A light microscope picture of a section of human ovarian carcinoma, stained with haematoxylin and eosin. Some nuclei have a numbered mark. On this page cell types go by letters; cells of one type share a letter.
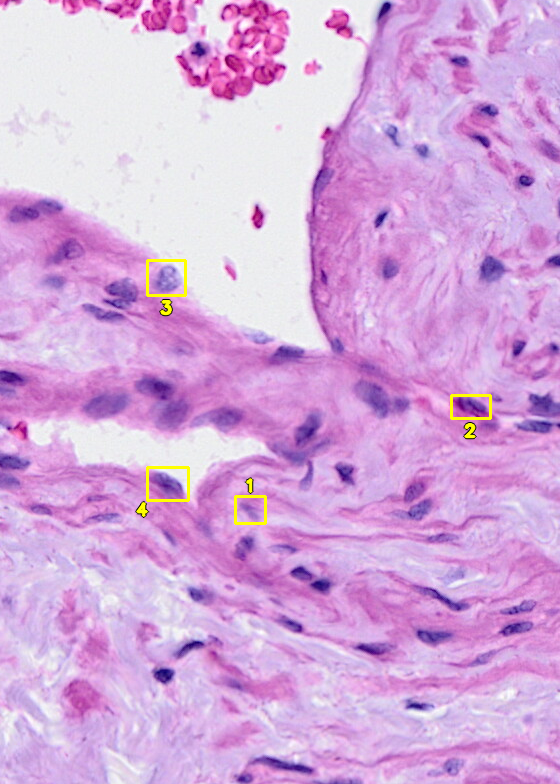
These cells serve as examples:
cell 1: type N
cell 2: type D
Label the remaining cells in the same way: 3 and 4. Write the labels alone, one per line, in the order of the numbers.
type D
type D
